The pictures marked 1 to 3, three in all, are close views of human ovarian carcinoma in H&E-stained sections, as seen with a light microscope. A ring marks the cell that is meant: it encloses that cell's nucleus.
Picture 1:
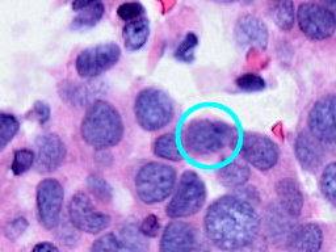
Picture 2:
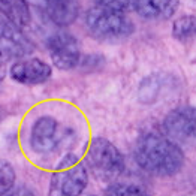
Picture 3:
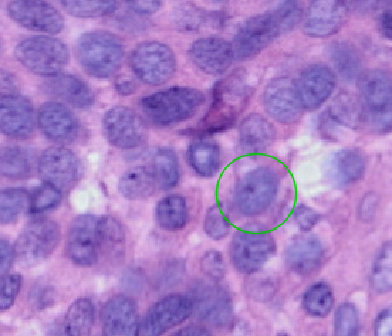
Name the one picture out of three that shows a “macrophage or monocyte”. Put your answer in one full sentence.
The cell in picture 2 is the “macrophage or monocyte”.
